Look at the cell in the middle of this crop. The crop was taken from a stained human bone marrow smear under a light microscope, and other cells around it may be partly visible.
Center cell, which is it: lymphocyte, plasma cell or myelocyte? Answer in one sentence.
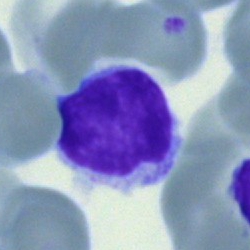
In this smear crop, the middle cell is a lymphocyte.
